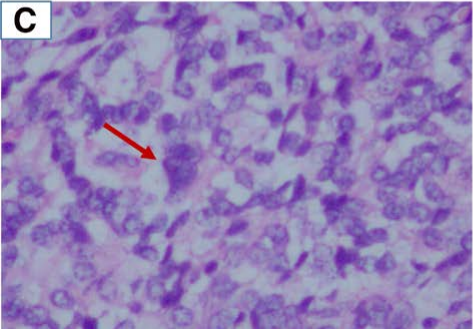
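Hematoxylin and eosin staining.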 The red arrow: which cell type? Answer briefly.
giant tumor cell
